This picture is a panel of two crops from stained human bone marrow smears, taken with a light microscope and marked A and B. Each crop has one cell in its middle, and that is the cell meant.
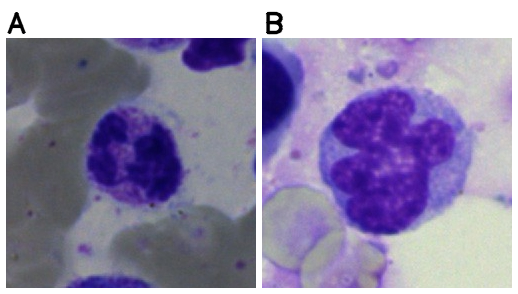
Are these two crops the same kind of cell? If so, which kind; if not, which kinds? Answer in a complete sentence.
No, crop A shows a segmented neutrophil and crop B a monocyte.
